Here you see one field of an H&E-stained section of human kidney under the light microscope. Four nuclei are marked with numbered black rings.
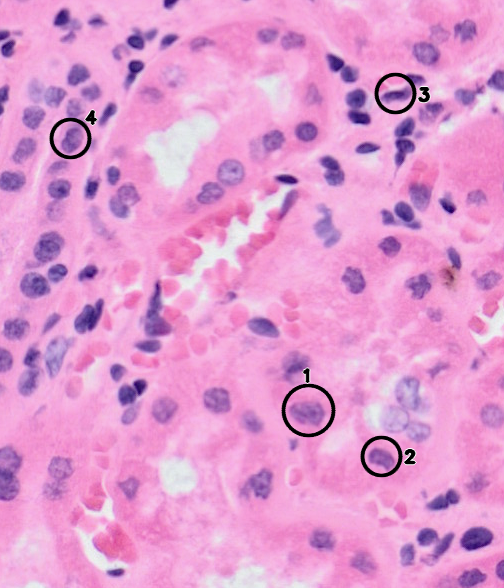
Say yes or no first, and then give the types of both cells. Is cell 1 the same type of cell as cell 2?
Yes, cells 1 and 2 are alike in being proximal tubule cells.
